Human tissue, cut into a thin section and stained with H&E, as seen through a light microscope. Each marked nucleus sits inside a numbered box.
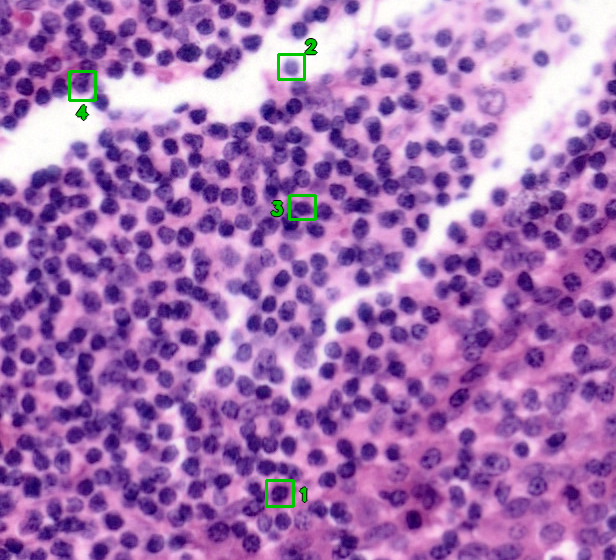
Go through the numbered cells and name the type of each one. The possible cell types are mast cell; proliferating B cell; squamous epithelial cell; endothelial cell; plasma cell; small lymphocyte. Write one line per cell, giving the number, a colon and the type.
1: plasma cell
2: small lymphocyte
3: small lymphocyte
4: small lymphocyte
